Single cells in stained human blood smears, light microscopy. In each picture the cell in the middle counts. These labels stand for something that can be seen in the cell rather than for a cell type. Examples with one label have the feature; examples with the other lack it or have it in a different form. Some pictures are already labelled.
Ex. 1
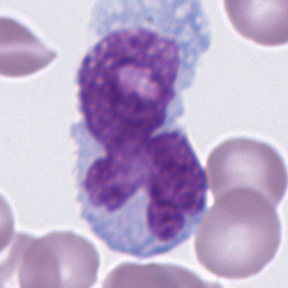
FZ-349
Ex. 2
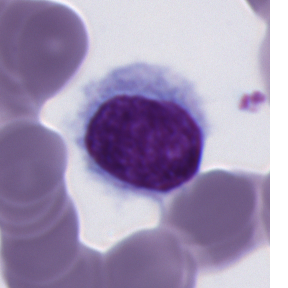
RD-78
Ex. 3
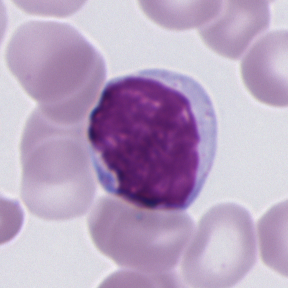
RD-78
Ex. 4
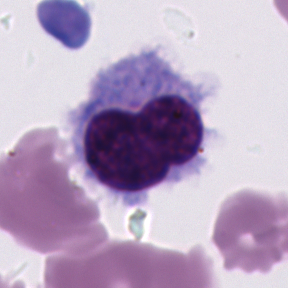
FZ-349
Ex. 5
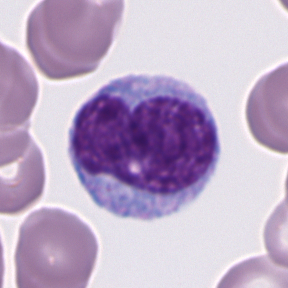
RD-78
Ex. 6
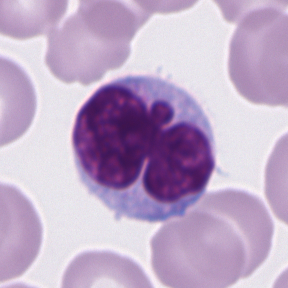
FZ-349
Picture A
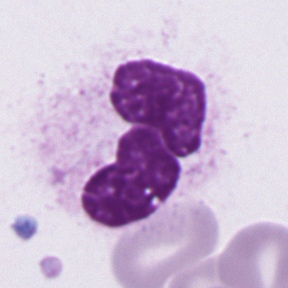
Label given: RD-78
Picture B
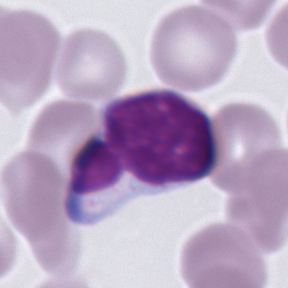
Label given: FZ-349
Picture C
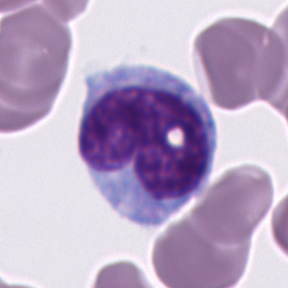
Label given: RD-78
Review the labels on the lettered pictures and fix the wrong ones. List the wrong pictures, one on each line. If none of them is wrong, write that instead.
A: not RD-78 but FZ-349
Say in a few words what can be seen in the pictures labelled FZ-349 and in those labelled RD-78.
FZ-349, lobed nucleus; RD-78, single compact nucleus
